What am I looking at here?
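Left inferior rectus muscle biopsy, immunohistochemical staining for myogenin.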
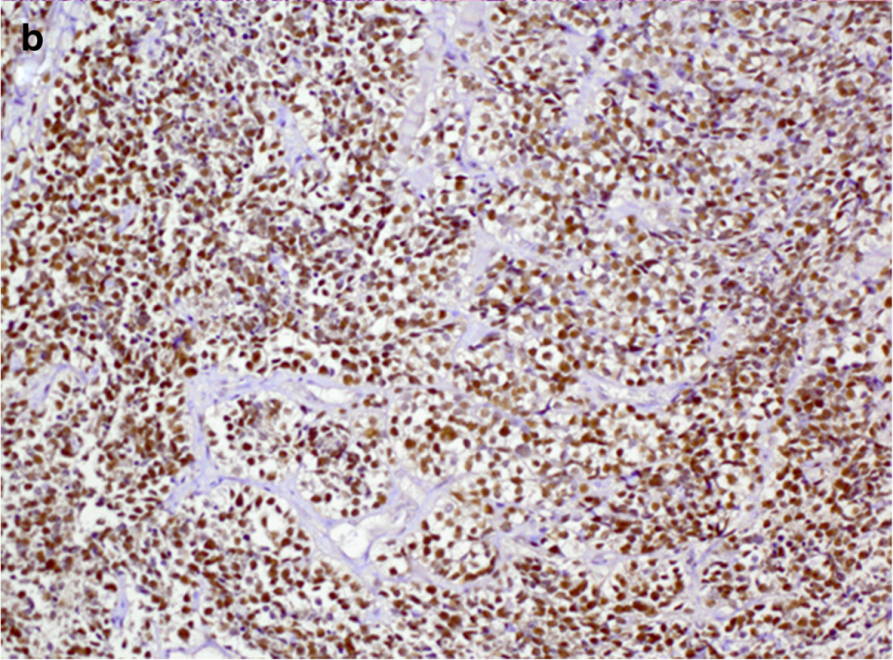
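Crowded small cells with round to oval nuclei form nests separated by thin pale blue strands of stroma, and the great majority of nuclei are stained brown. These are tumour cells showing nuclear staining throughout the infiltrate.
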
